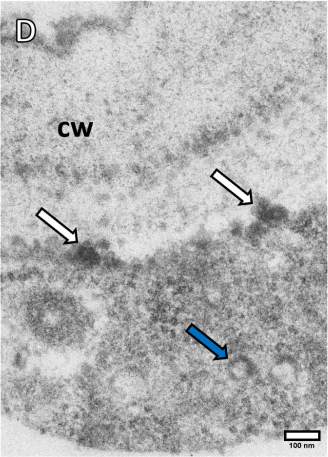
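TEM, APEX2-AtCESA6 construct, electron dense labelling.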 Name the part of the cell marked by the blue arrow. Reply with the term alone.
Vesicles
